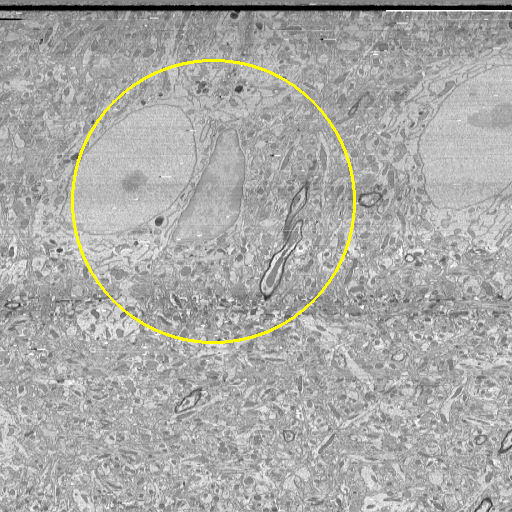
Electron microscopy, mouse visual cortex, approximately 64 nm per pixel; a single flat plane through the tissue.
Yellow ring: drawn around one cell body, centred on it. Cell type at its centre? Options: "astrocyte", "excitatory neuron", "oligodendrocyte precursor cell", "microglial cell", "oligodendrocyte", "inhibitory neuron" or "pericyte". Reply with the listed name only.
microglial cell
